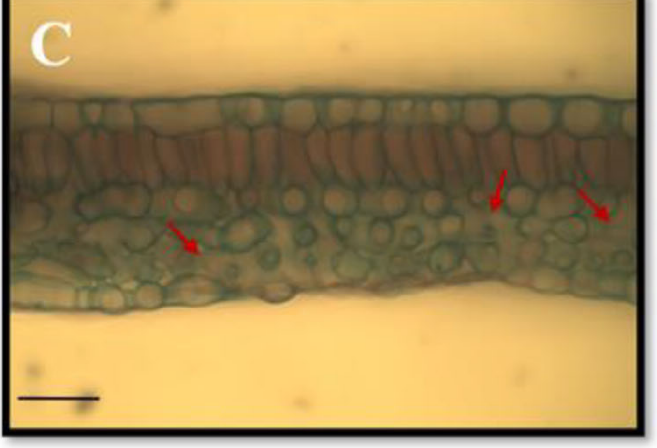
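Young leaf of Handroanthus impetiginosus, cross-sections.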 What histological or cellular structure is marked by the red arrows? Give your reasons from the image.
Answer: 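The arrows point to spaces between rounded cells beneath the layer of elongated reddish cells.
Conclusion: intercellular space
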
